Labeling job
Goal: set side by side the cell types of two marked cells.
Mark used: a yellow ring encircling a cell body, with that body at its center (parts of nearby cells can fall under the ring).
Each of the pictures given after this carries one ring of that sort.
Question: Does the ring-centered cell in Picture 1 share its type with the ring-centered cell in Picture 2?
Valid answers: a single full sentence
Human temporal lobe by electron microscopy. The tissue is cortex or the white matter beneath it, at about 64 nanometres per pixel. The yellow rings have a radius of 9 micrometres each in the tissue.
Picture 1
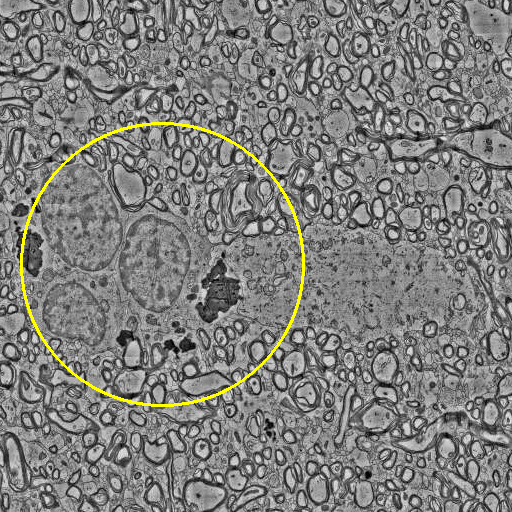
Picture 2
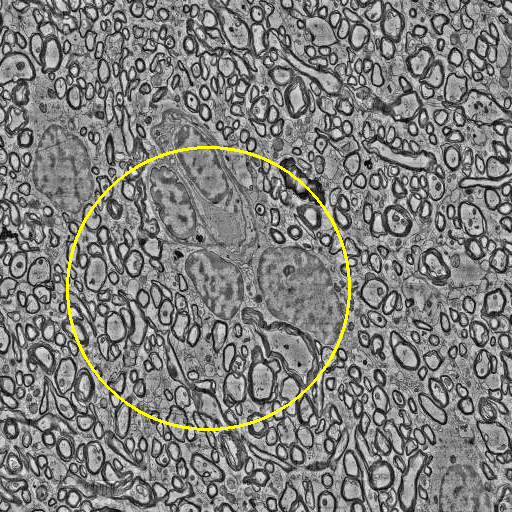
No, in Pictures 1 and 2 the cells at the ring centers have separate types.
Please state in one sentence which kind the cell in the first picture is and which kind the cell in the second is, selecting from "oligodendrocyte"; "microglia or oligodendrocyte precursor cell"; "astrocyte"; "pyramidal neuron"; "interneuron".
The first ringed cell is an oligodendrocyte, the second ringed cell a microglial cell or oligodendrocyte precursor cell.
